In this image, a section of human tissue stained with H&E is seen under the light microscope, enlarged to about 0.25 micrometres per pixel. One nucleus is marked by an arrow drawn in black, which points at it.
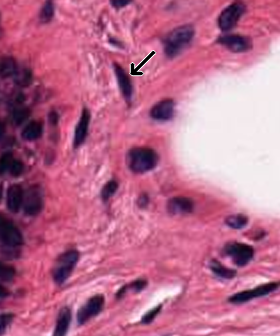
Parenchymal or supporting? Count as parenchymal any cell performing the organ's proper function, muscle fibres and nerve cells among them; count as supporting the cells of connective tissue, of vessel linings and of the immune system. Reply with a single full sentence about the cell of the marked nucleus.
It is in a supporting cell that the marked nucleus lies.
